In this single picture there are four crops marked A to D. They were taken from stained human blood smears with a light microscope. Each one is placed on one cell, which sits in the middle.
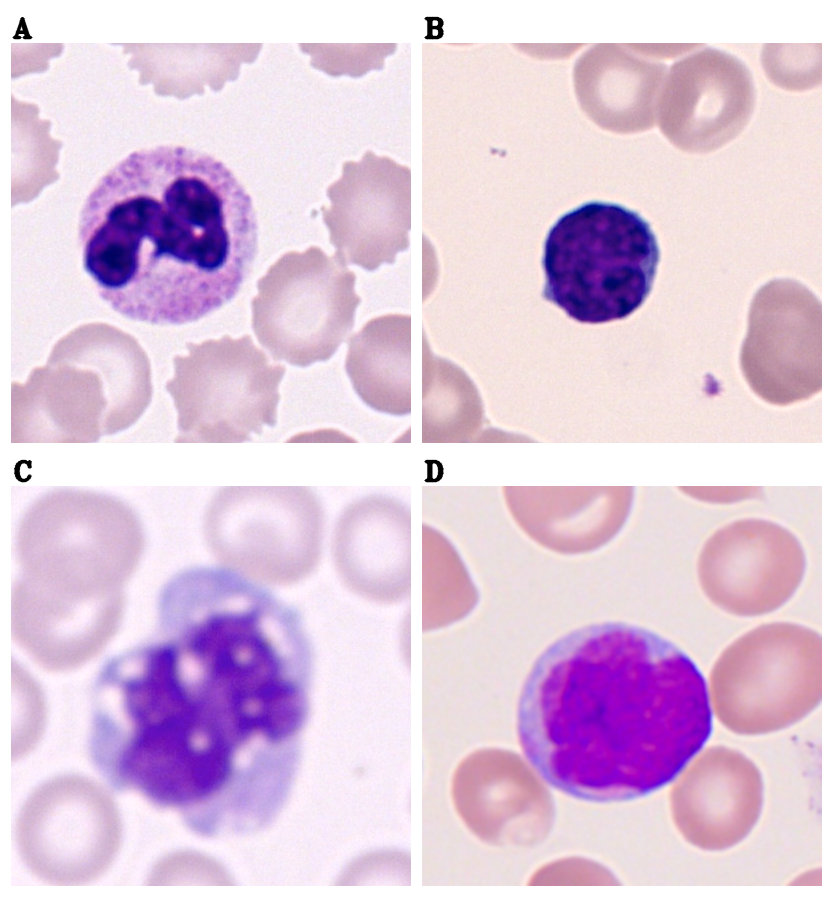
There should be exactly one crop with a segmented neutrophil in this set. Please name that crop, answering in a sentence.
Crop A is the one depicting a segmented neutrophil.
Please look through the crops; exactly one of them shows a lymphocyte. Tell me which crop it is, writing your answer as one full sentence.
Of the labelled crops, the one that shows a lymphocyte is crop B.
